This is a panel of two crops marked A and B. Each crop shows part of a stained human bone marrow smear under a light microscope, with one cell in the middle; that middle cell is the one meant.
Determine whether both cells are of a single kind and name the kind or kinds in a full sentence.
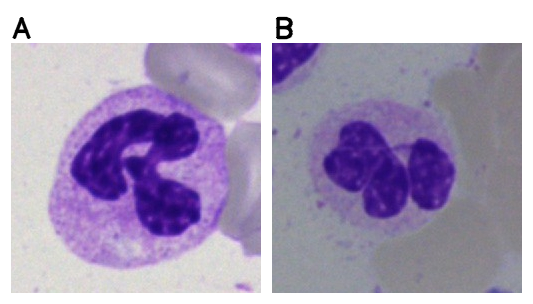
Yes, the cells placed at the centre of both crops are segmented neutrophils.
